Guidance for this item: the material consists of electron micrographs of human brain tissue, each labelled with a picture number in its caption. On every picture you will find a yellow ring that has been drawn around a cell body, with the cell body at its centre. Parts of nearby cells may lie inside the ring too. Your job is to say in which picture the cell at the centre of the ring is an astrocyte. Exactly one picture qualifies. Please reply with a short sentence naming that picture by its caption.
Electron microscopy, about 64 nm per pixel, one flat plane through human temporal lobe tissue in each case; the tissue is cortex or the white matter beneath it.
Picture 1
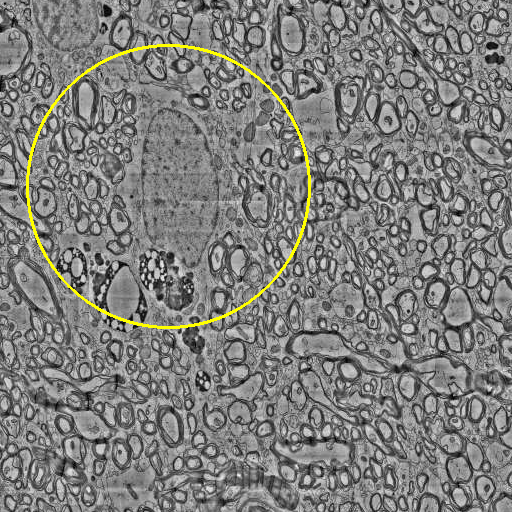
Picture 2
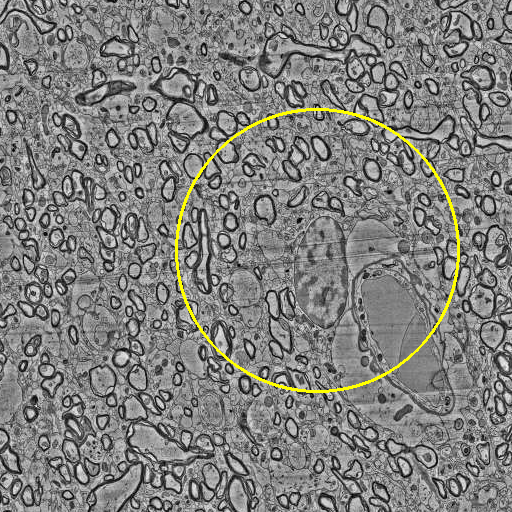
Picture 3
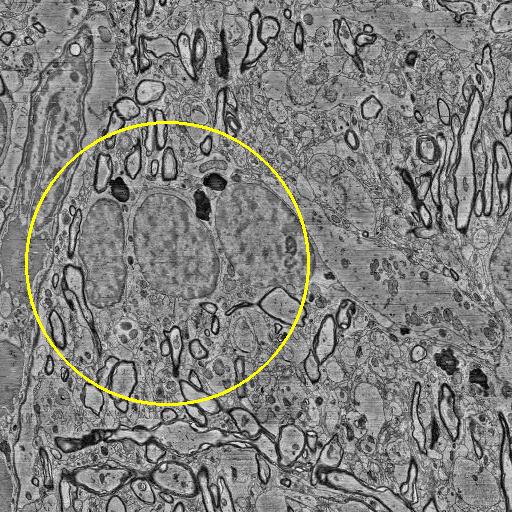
Picture 1 shows it at the centre of the ring.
